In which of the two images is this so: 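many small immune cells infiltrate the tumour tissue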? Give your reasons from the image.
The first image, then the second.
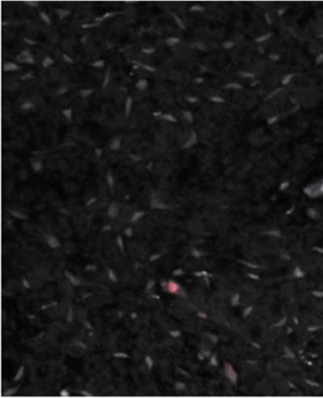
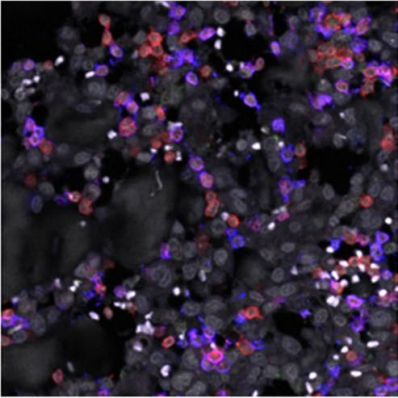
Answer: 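Second image: dozens of small red- and blue-rimmed cells crowd between the tumour cells. First image: only one or two faint red cells are seen among spindle-shaped grey nuclei. So: the second image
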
